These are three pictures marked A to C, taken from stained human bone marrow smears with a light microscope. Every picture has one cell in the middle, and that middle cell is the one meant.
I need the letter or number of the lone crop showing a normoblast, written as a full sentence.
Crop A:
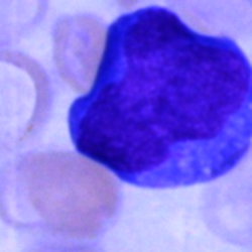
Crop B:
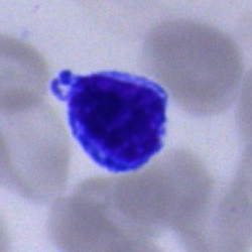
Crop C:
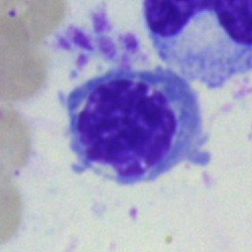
Crop C is the one that shows a normoblast.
